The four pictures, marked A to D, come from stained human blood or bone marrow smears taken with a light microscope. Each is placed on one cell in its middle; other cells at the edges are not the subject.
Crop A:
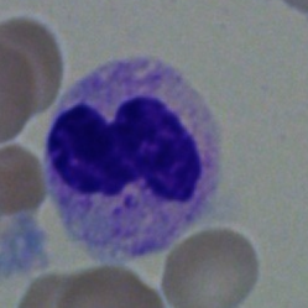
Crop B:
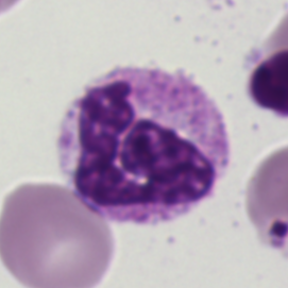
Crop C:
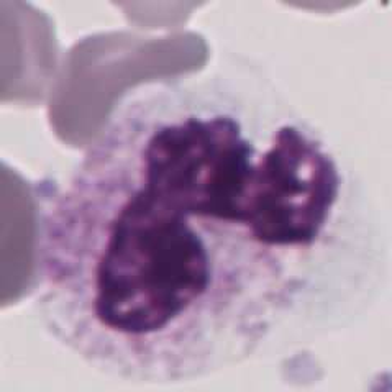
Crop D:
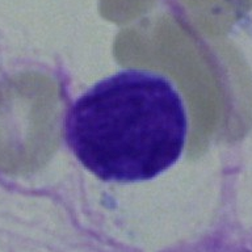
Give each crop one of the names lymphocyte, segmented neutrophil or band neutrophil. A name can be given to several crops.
A: segmented neutrophil
B: segmented neutrophil
C: band neutrophil
D: lymphocyte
